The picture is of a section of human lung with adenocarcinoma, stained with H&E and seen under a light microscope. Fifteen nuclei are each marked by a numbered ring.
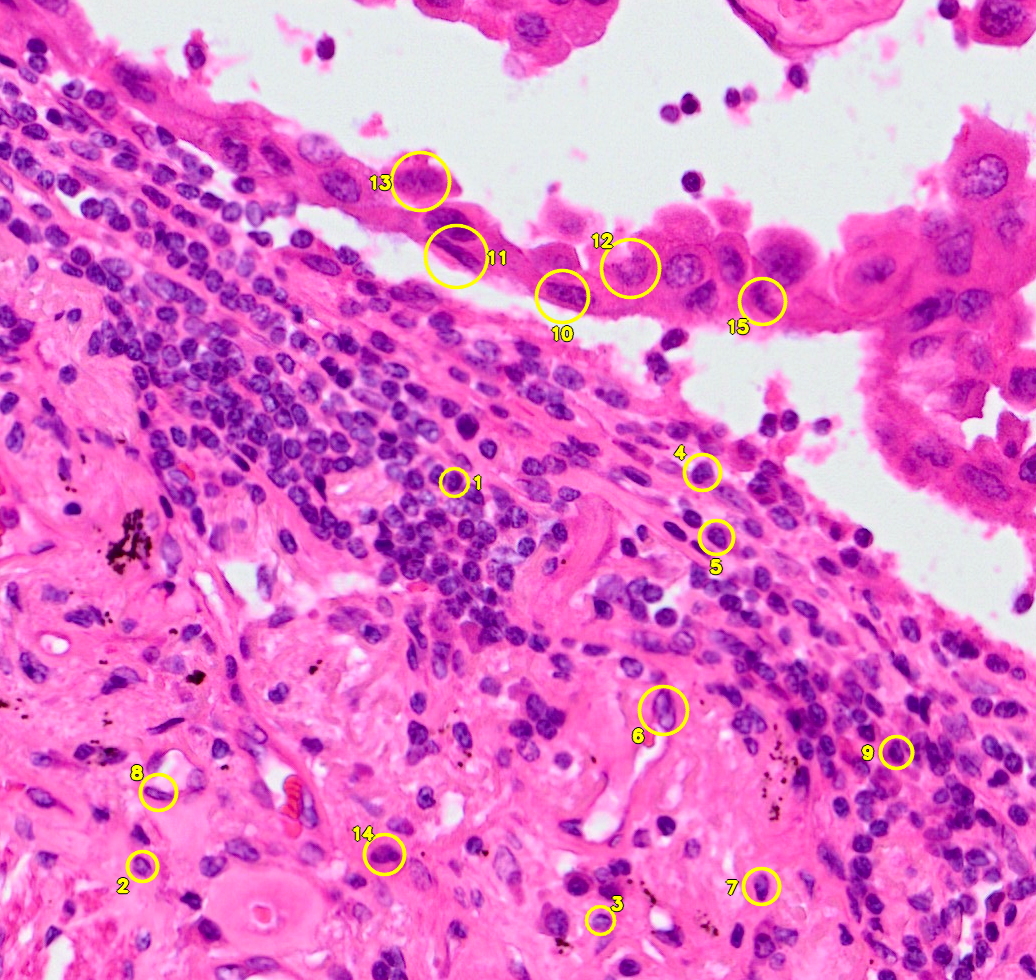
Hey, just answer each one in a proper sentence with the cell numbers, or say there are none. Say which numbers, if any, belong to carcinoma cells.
The cells carrying the numbers 10, 11, 12, 13 and 15 are carcinoma cells.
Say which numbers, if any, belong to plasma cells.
The cells tagged 5, 9 and 14 are plasma cells in this tissue section.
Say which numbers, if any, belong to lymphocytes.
Regarding the numbered cells 1 and 4, these are lymphocytes.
